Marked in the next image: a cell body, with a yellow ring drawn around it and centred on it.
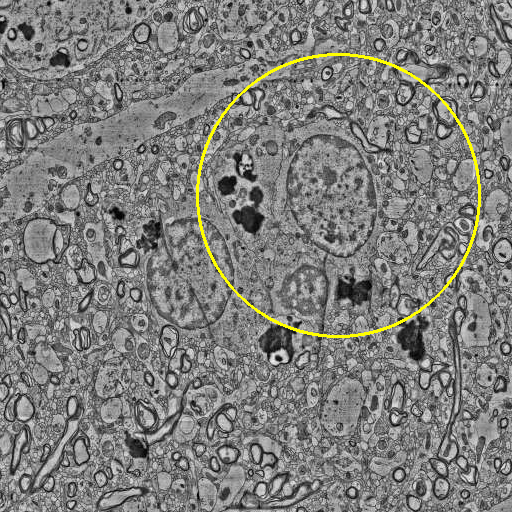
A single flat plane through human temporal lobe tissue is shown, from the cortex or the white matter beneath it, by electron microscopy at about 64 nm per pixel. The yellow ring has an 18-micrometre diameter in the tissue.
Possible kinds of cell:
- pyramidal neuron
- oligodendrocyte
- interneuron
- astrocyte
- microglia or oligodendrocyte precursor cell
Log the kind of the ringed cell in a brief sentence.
The ringed cell body is that of an oligodendrocyte.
